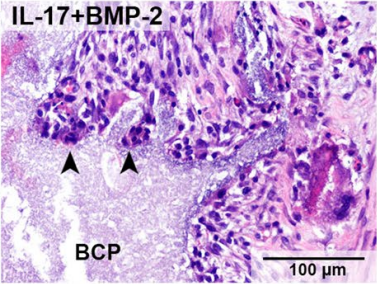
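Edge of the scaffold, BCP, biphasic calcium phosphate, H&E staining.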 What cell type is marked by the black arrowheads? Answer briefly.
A: osteoclasts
